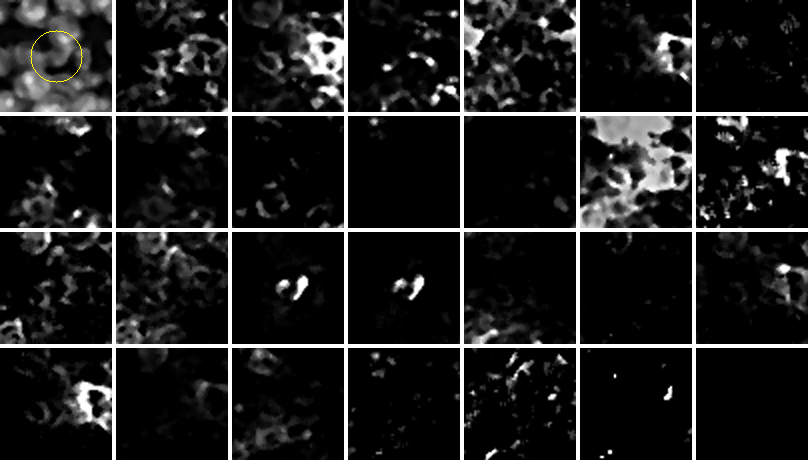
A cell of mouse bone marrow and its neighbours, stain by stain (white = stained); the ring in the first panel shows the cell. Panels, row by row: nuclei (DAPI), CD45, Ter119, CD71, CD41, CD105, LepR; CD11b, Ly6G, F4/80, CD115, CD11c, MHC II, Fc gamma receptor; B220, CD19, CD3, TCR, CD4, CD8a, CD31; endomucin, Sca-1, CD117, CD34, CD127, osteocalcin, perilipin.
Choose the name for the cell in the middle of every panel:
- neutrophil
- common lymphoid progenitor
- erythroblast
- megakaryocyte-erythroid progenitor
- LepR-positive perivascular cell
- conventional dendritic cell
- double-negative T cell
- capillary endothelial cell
double-negative T cell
